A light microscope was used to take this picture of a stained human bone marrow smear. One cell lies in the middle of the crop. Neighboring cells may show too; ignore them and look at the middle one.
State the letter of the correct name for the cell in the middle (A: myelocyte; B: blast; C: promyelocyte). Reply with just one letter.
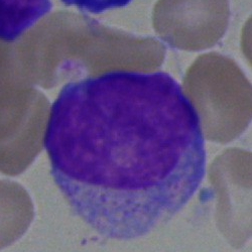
B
